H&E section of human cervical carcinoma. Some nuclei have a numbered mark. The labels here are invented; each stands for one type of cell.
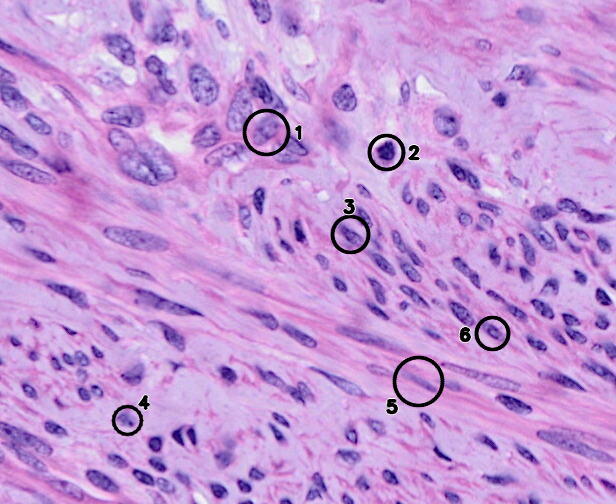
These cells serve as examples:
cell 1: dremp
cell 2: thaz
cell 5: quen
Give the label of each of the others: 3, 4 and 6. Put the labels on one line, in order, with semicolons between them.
quen; quen; quen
